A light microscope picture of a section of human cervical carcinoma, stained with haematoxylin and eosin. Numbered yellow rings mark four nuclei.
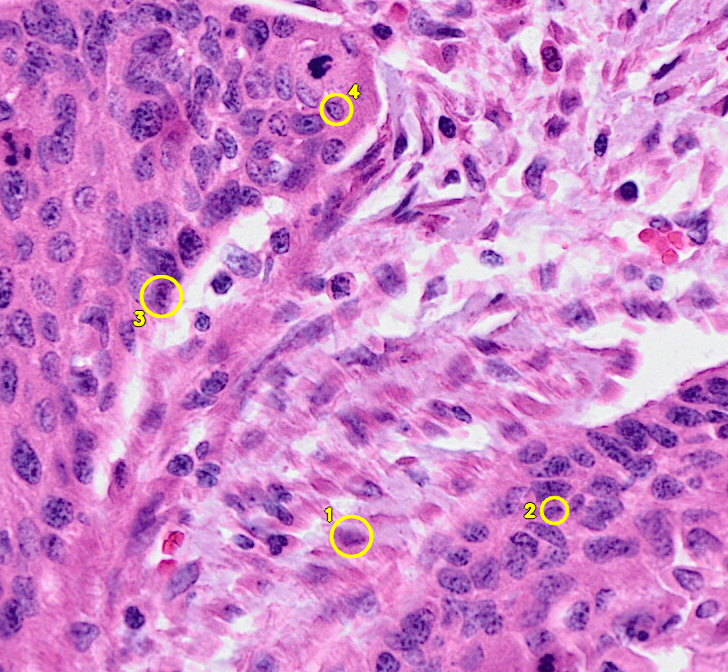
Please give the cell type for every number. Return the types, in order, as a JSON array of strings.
["fibroblast", "squamous carcinoma cell", "squamous carcinoma cell", "squamous carcinoma cell"]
